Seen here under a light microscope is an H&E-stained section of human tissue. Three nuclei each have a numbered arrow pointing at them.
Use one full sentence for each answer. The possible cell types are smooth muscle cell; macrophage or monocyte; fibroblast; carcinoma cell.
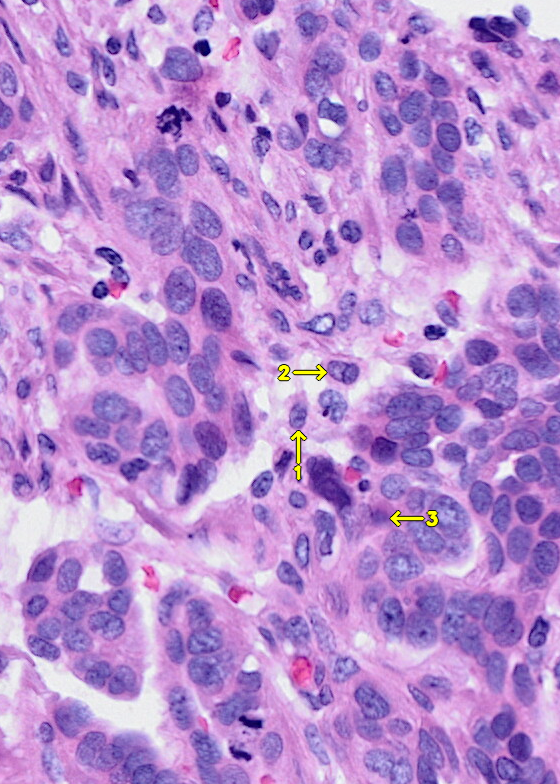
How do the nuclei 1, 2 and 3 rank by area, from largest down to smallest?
The nuclei rank 2, 1, 3, from largest to smallest.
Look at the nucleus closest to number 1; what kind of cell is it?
Number 1 lies closest to the nucleus of a macrophage or monocyte.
